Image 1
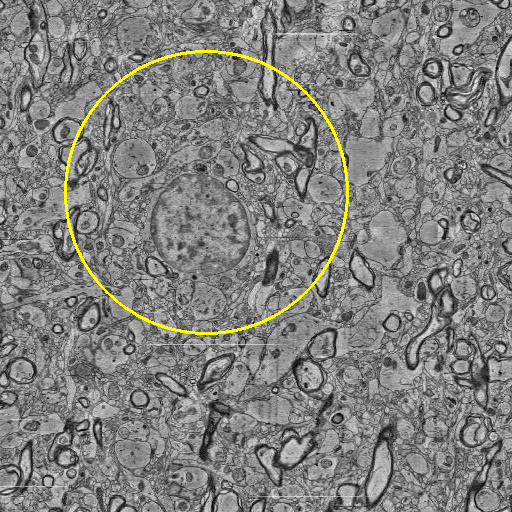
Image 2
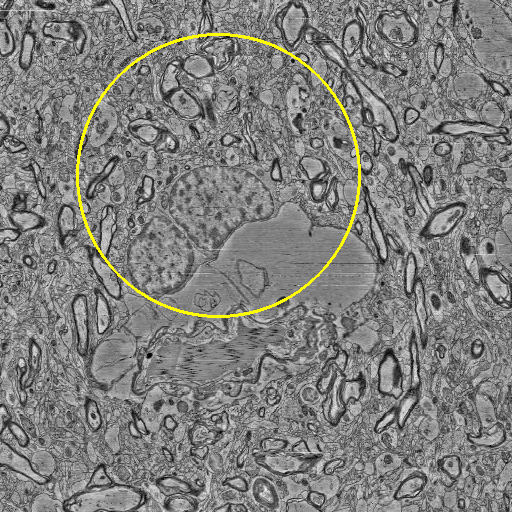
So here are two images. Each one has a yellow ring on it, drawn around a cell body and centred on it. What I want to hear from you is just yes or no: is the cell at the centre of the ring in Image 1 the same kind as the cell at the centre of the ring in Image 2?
yes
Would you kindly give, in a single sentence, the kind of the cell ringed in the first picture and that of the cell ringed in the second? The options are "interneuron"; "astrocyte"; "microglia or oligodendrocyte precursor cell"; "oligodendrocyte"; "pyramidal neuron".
The first and the second cell are each an oligodendrocyte.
